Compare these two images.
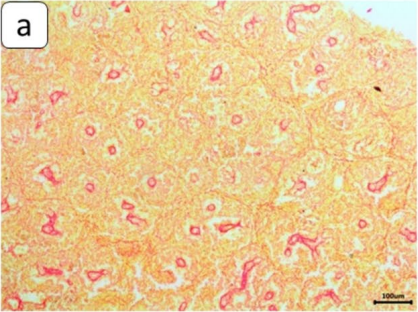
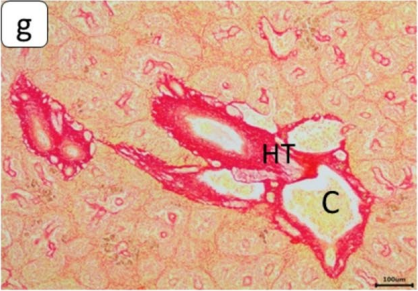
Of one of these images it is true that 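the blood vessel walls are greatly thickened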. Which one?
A: The second image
